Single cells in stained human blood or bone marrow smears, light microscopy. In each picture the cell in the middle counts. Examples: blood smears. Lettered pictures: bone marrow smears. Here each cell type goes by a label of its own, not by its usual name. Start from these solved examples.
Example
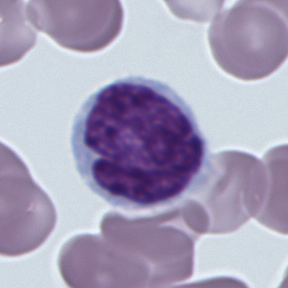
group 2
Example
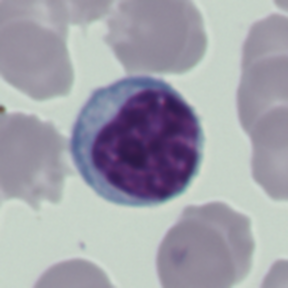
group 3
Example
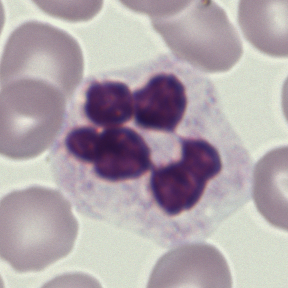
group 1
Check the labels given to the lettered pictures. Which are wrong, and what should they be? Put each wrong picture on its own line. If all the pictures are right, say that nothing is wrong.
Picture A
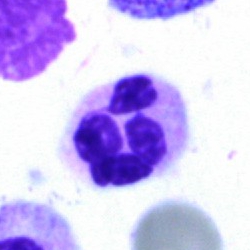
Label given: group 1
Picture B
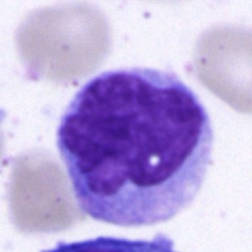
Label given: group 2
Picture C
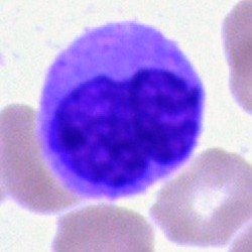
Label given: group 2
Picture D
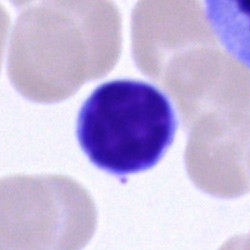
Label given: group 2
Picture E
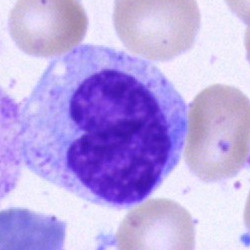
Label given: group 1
D should be group 3, not group 2
E should be group 2, not group 1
